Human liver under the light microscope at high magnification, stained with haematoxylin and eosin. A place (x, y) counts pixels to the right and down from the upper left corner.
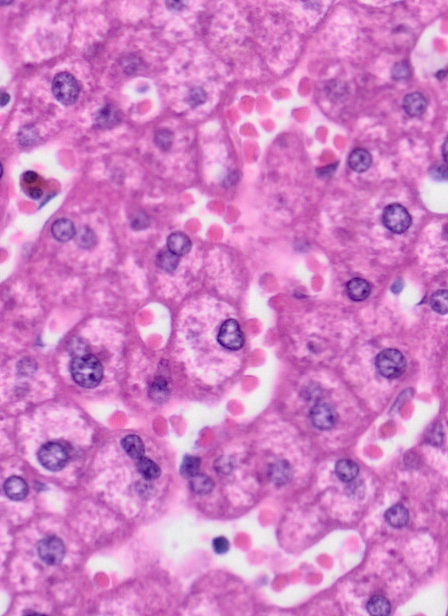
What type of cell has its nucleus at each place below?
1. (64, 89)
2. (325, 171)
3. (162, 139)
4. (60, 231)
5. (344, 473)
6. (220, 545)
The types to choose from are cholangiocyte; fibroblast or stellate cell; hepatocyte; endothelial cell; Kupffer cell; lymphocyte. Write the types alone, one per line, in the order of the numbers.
hepatocyte
endothelial cell
hepatocyte
hepatocyte
hepatocyte
lymphocyte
